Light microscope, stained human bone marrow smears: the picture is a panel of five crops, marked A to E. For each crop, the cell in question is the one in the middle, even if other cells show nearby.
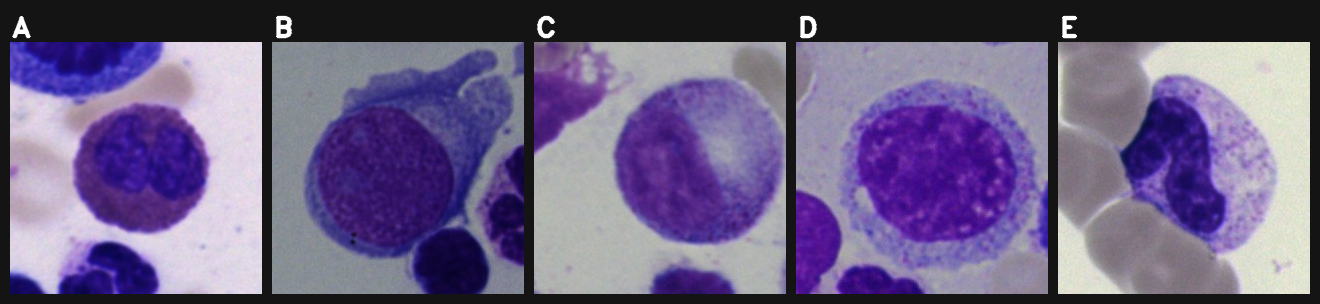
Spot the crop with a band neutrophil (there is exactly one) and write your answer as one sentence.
Crop E is the one to choose: it shows a band neutrophil.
